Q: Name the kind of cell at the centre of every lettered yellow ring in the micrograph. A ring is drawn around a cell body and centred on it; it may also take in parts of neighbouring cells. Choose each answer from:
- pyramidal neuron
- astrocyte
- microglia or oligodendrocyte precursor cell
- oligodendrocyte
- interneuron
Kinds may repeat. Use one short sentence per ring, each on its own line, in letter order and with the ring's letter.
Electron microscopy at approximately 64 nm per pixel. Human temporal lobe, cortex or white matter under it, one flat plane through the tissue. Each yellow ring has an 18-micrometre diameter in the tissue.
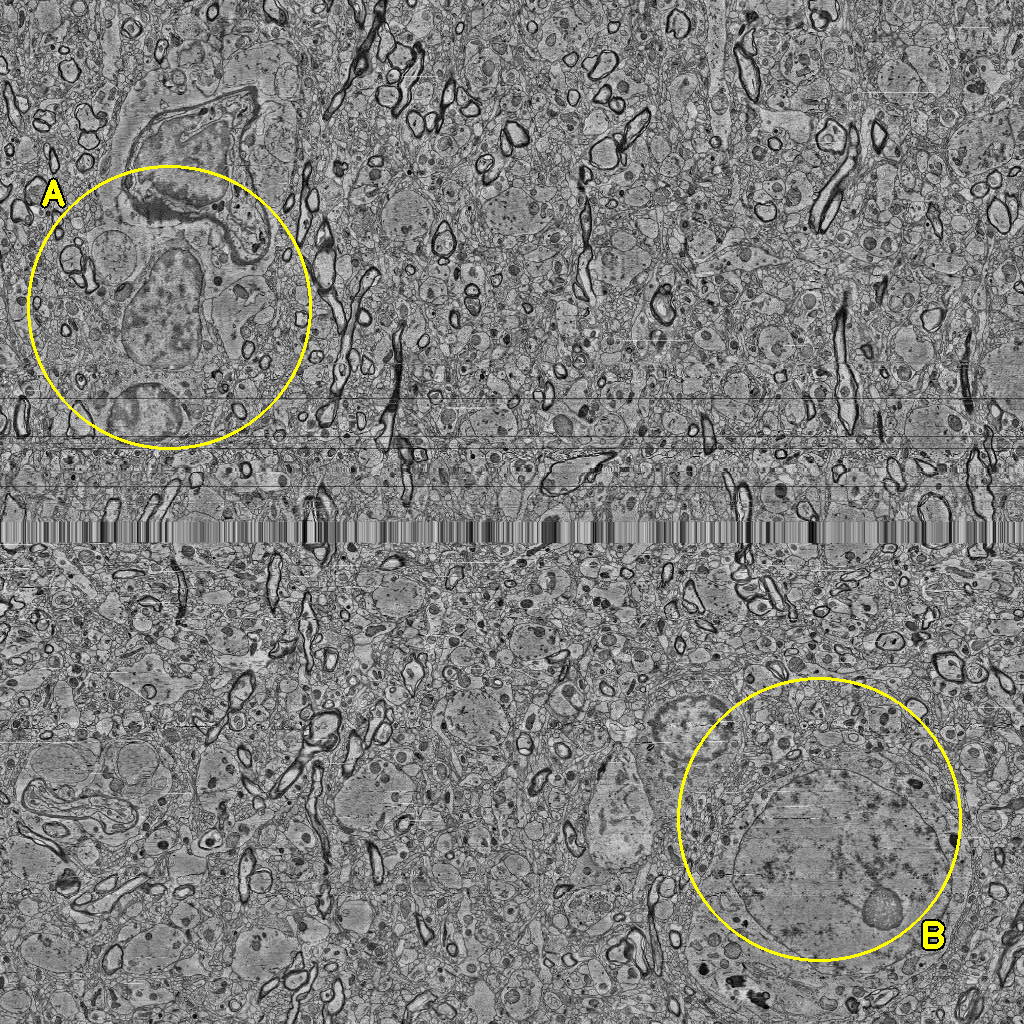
Ring A is placed around an oligodendrocyte.
Ring B is placed around a pyramidal neuron.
